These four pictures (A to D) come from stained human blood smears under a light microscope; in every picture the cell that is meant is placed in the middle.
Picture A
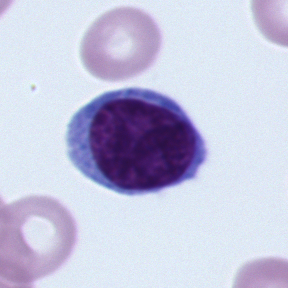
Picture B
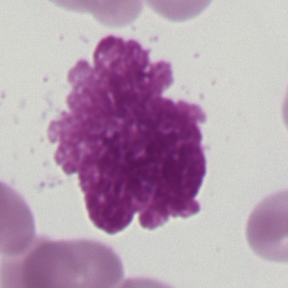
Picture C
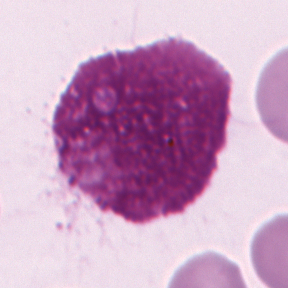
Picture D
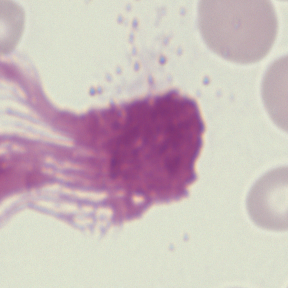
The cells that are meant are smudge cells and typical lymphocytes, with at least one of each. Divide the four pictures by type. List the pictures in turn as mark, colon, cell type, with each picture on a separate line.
A: typical lymphocyte
B: smudge cell
C: smudge cell
D: smudge cell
